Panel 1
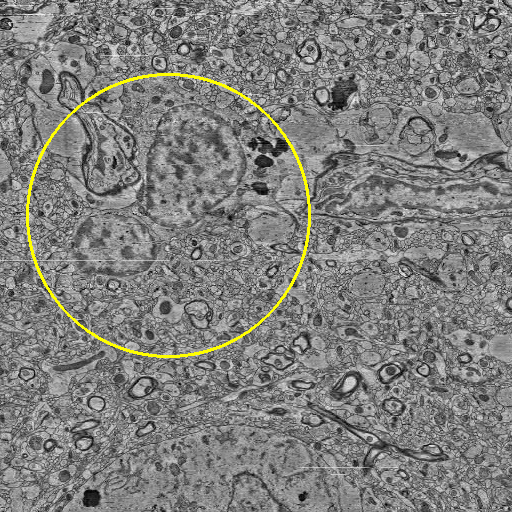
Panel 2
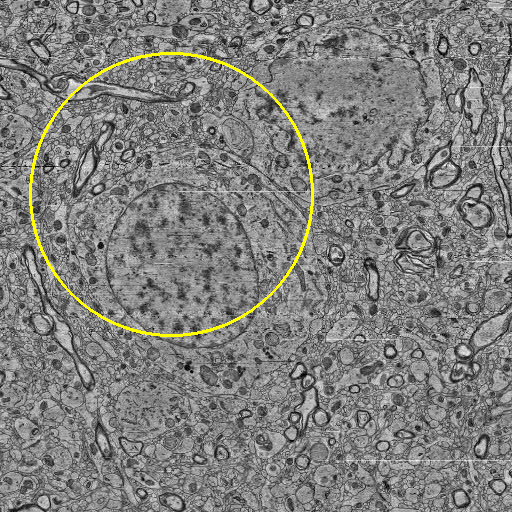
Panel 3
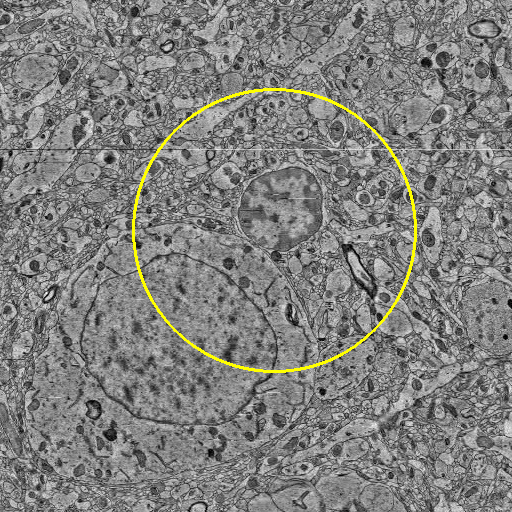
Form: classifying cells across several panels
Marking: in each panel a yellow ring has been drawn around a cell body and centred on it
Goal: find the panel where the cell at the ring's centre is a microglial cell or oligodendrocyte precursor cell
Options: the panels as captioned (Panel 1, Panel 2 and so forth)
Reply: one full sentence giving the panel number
Panel 3 shows the wanted cell at the centre of its ring.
